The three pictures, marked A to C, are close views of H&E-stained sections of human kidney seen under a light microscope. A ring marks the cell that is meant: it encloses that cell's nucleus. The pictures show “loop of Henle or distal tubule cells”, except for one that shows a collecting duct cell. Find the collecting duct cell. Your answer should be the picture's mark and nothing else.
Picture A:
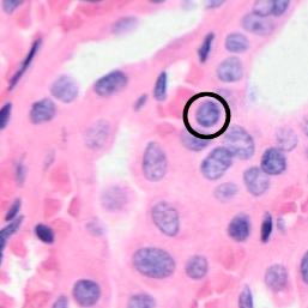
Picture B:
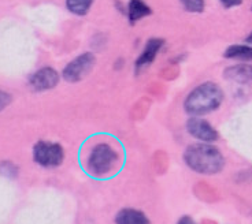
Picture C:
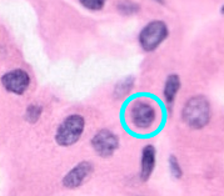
A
